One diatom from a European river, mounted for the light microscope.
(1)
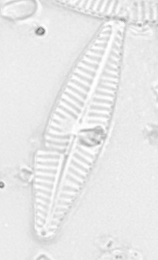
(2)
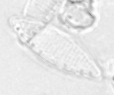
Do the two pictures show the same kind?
No: Navicula, then Nitzschia.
